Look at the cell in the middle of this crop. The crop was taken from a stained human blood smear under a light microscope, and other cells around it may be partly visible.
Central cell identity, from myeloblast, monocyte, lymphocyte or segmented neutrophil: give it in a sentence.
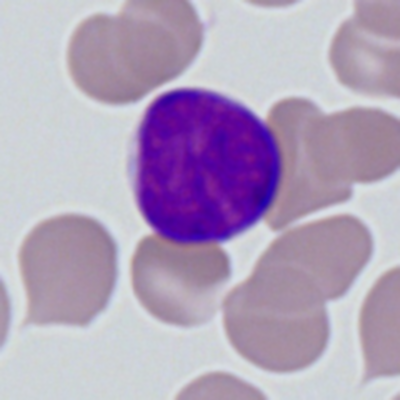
Among the cells in view, the one in the middle is a myeloblast.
